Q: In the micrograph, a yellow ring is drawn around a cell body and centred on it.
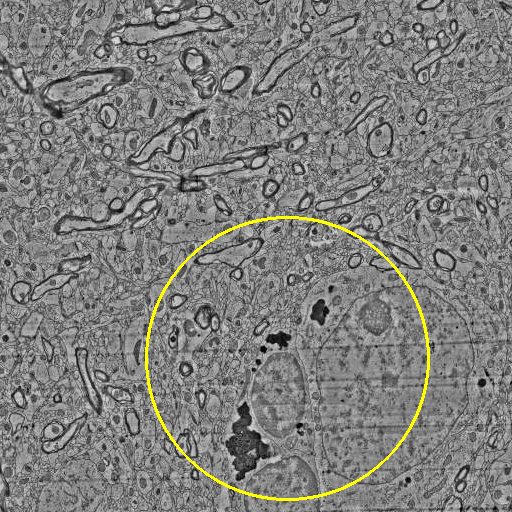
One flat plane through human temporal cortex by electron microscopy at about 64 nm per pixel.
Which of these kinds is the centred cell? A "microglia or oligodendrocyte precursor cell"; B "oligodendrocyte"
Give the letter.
B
